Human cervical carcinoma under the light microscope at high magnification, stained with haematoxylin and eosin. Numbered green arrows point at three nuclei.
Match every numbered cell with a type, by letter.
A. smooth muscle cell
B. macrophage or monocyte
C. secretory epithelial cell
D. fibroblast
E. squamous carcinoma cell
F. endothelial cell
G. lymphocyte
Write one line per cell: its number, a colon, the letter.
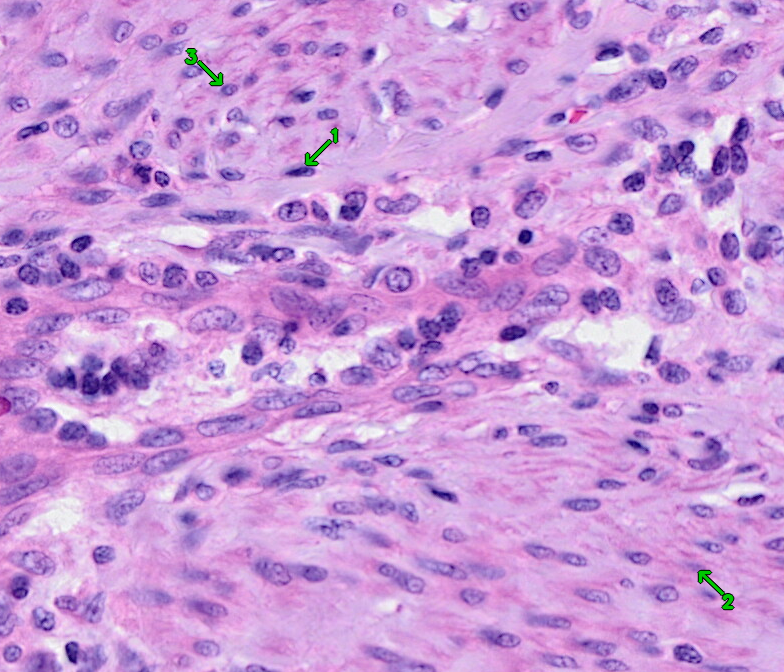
1: G
2: A
3: A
